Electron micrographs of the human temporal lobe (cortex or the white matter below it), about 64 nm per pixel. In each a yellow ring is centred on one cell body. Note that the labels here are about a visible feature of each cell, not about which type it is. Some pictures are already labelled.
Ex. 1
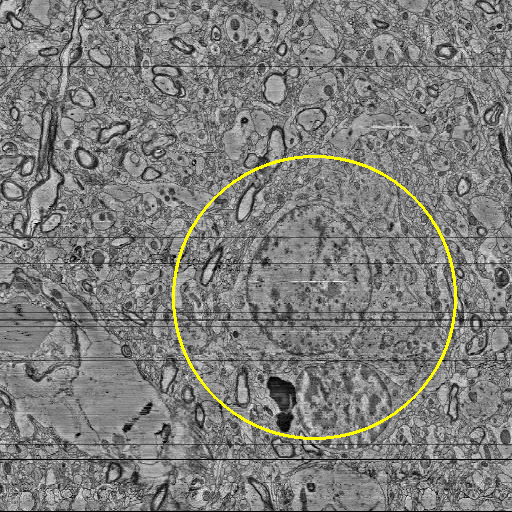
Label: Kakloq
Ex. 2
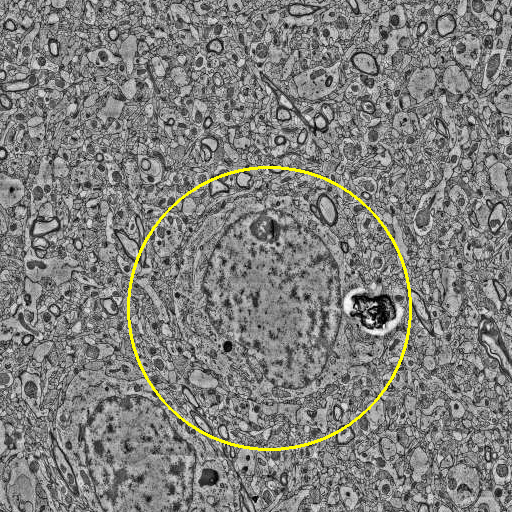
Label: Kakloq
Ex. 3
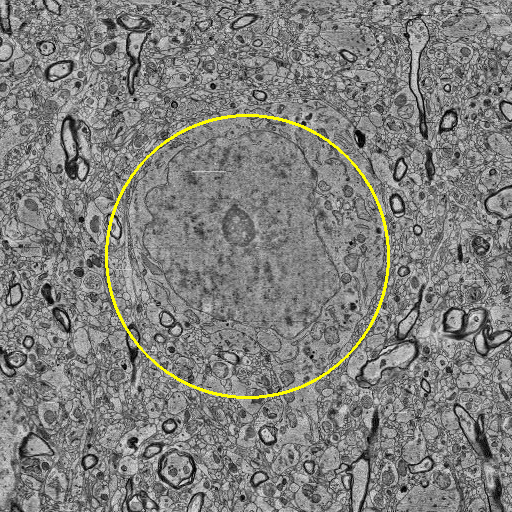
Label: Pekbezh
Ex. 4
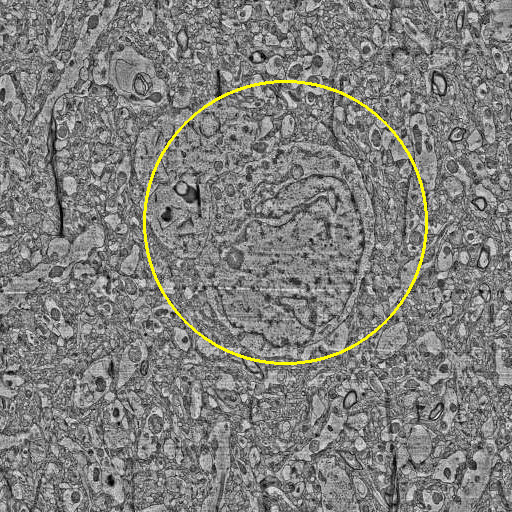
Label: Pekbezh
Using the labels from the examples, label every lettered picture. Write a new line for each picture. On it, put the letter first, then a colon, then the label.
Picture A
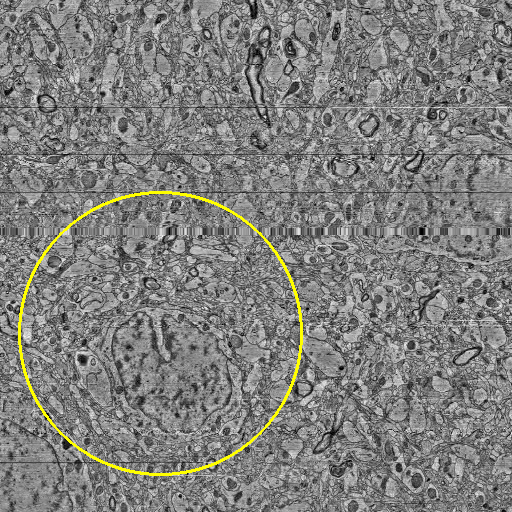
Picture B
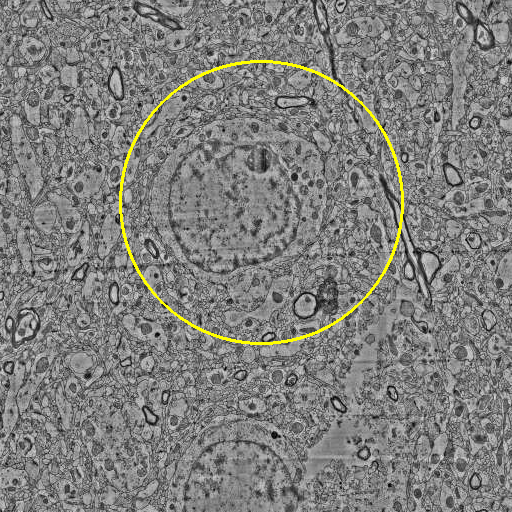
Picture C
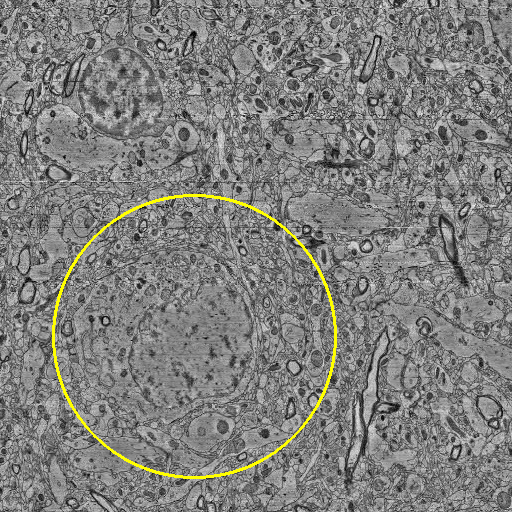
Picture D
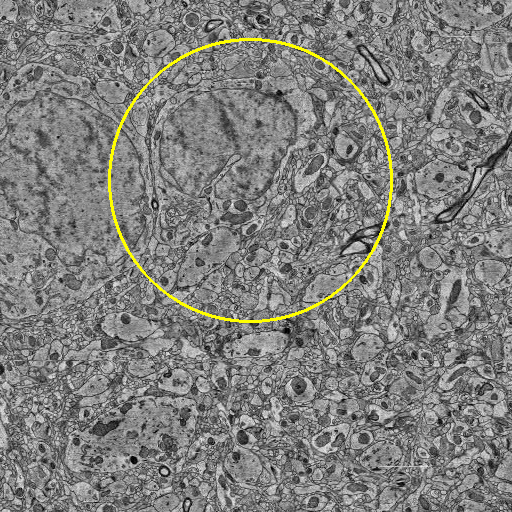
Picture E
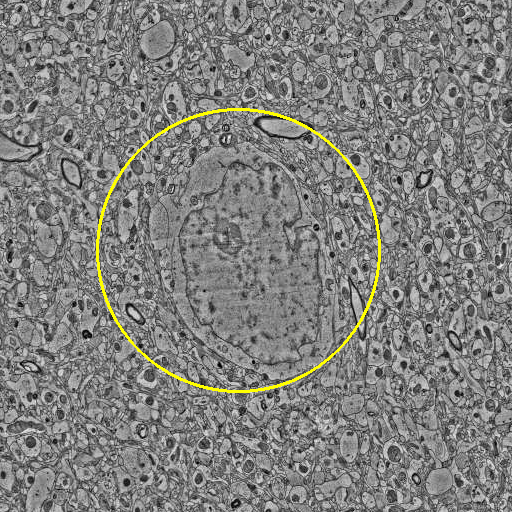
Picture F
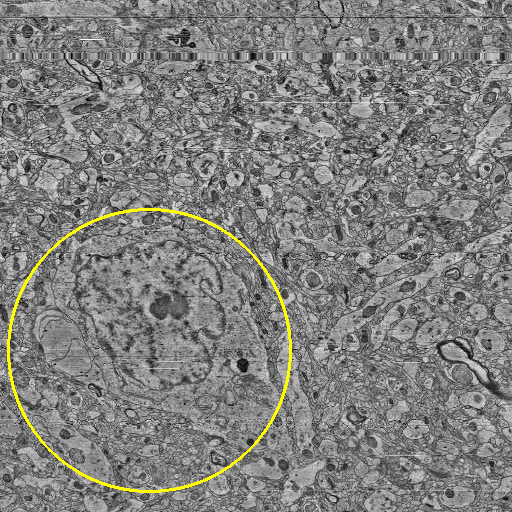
A: Pekbezh
B: Kakloq
C: Kakloq
D: Pekbezh
E: Pekbezh
F: Pekbezh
